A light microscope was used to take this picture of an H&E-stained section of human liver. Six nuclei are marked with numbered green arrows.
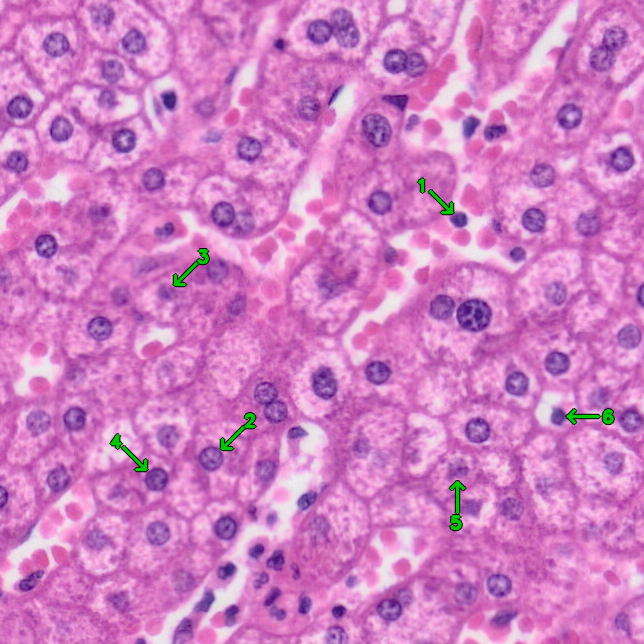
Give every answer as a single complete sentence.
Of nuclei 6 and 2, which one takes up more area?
Of the two, number 2 is bigger and takes up about 2 times the area of number 6.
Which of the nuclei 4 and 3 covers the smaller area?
The smaller nucleus is 3, and 4 covers roughly 1.5 times its area.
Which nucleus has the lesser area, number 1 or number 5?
Number 1 is smaller, since number 5 takes up about 1.5 times as much area.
